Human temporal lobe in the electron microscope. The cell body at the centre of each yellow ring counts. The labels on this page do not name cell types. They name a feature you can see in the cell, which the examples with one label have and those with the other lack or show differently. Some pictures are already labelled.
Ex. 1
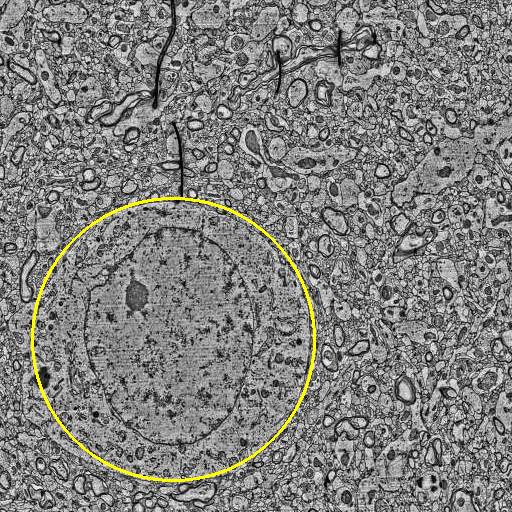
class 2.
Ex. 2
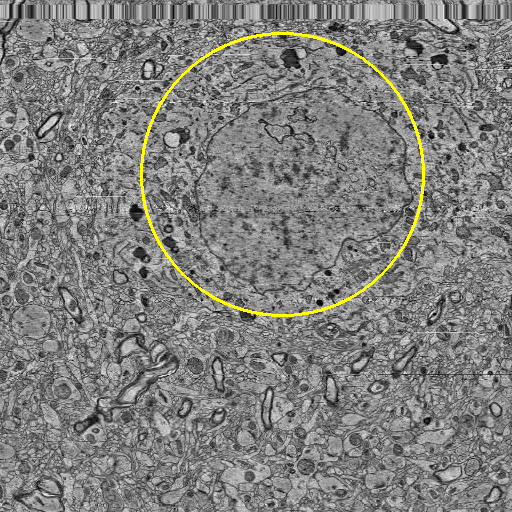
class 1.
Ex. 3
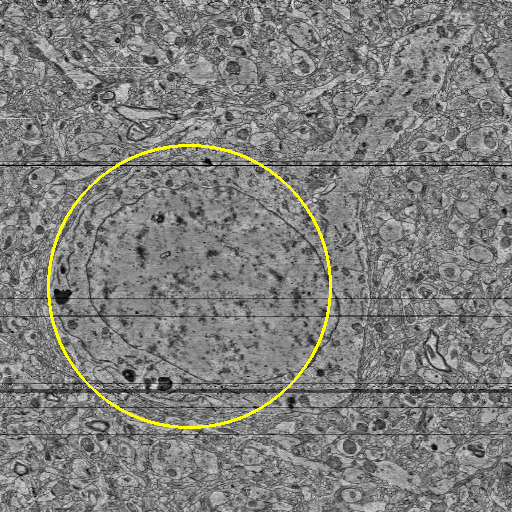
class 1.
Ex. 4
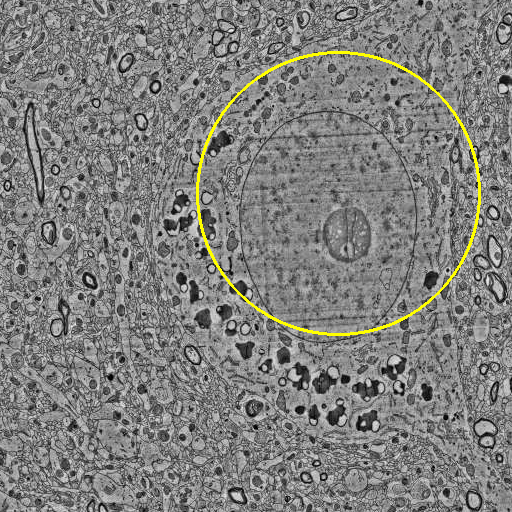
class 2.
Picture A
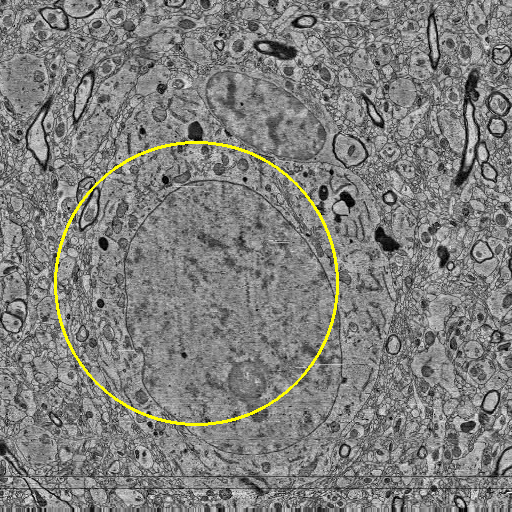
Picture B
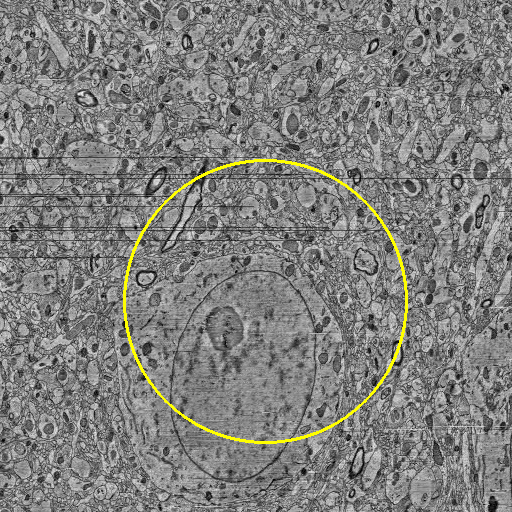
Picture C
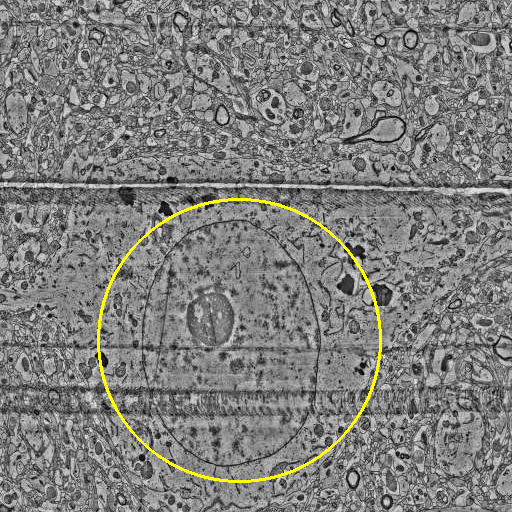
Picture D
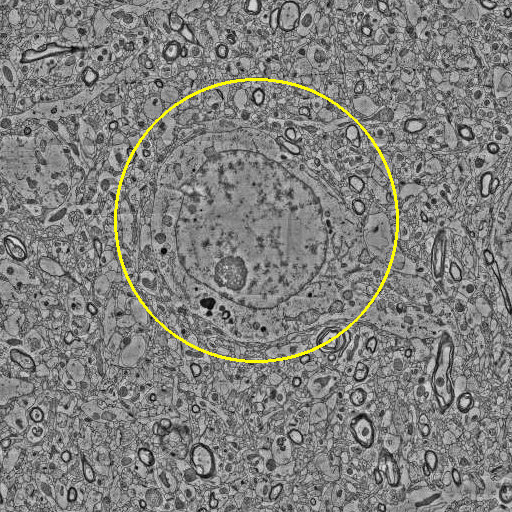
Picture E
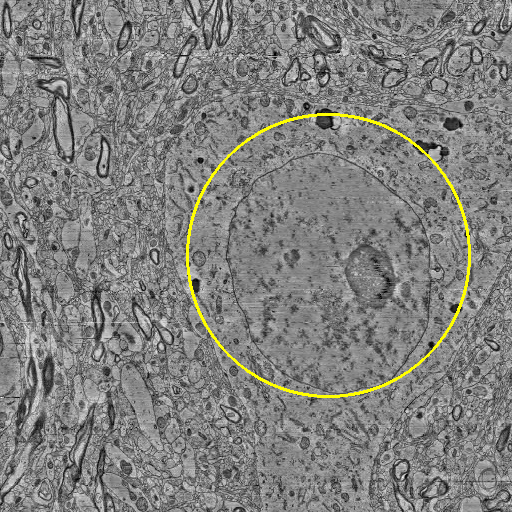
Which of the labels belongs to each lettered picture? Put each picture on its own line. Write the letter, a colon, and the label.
A: class 2.
B: class 2.
C: class 2.
D: class 2.
E: class 2.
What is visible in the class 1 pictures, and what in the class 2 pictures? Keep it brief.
class 1: no nucleolus seen; class 2: nucleolus seen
